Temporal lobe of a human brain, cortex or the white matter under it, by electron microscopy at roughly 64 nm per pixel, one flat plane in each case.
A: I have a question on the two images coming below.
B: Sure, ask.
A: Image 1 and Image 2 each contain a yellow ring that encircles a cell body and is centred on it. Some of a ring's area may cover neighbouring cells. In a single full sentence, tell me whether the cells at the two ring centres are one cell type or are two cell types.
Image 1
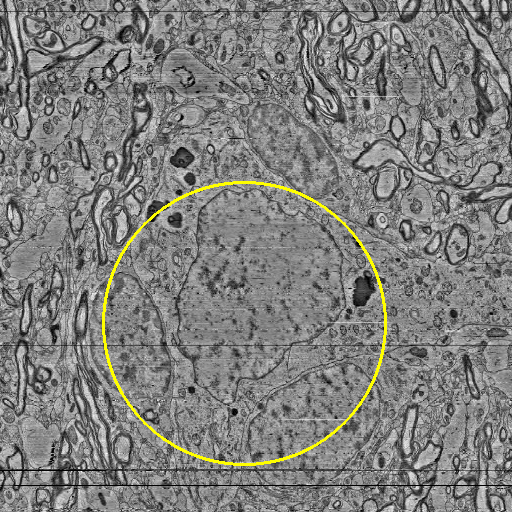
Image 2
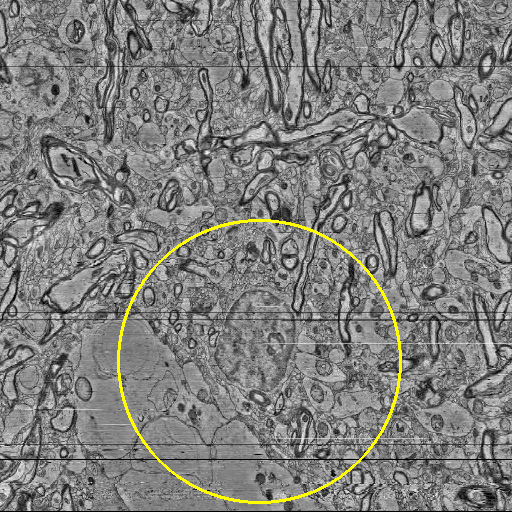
As for the ring-centre cells, the one in Image 1 and the one in Image 2 are two cell types.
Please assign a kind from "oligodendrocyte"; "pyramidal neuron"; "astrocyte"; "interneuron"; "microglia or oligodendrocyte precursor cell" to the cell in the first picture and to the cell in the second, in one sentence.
In the first picture we have a pyramidal neuron, and in the second, an oligodendrocyte.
